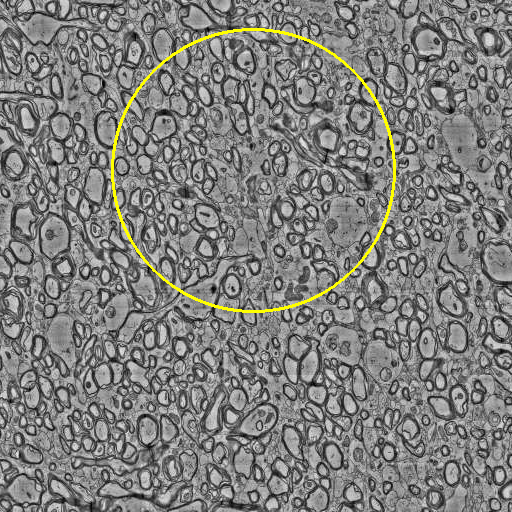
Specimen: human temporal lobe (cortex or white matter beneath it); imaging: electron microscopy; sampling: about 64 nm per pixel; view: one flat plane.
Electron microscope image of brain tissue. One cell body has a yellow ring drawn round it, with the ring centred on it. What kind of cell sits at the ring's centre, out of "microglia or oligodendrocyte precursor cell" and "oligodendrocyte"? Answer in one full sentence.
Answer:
It is an oligodendrocyte whose cell body sits at the centre of the yellow ring.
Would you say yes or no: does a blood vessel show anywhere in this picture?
No, no vessel appears in the picture.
